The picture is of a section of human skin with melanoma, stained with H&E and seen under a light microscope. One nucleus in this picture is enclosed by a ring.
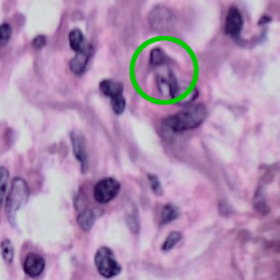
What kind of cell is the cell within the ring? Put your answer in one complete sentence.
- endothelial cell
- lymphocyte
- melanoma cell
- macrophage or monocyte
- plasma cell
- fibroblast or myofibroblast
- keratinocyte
Just put down that the cell within the ring is an endothelial cell.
